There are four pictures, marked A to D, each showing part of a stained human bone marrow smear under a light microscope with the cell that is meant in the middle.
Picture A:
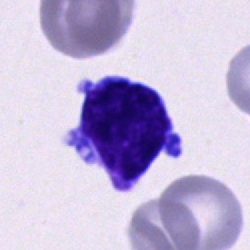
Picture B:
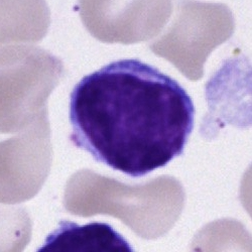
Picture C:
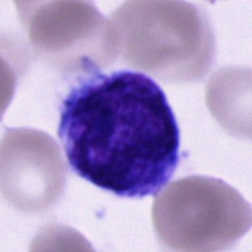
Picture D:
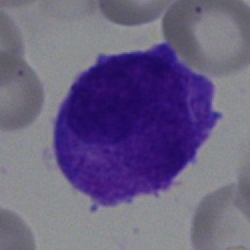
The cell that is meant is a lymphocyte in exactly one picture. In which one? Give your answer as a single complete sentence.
The picture with the lymphocyte is B.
